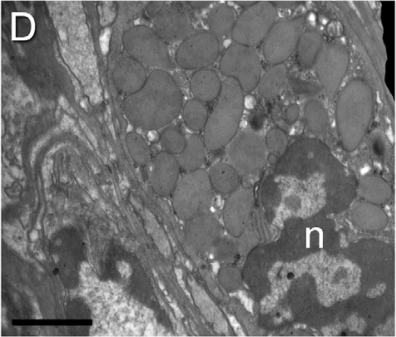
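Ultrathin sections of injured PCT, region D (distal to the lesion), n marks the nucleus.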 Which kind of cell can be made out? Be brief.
Granular hemocyte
